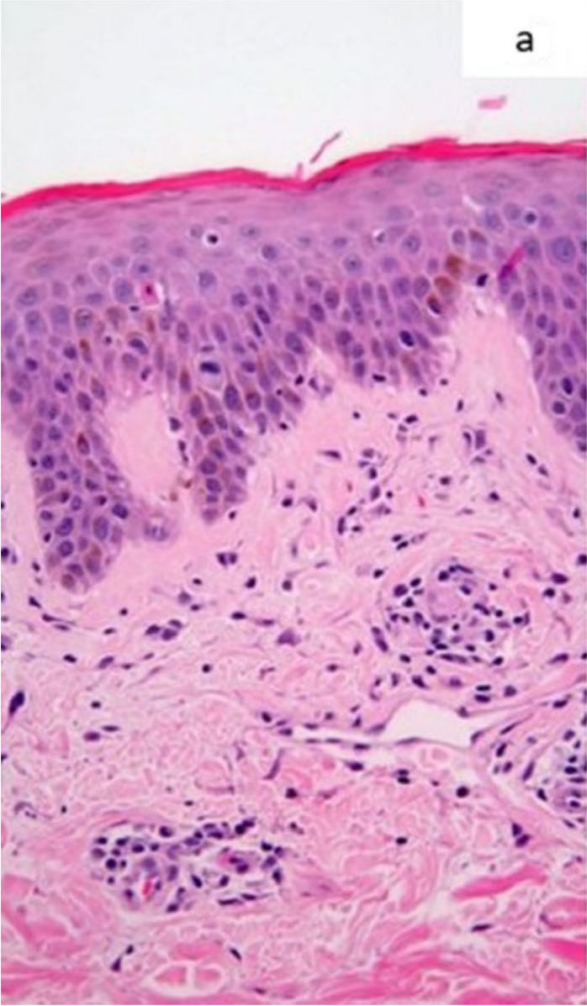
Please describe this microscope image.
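This is skin with a stratified squamous epidermis above a dermis of pink collagen. The epidermis is many layers thick, with rete ridges reaching down into the dermis, and brown pigment in the basal cells. A thin pink cornified layer covers the surface. In the dermis, small blood vessels are cuffed by clusters of small round cells with dark nuclei and scant cytoplasm, a perivascular lymphocytic infiltrate. Scattered similar cells also lie loosely in the upper dermis just beneath the epidermis.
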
